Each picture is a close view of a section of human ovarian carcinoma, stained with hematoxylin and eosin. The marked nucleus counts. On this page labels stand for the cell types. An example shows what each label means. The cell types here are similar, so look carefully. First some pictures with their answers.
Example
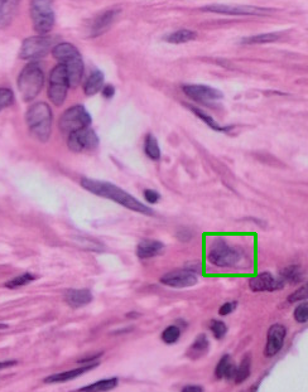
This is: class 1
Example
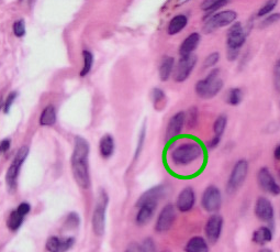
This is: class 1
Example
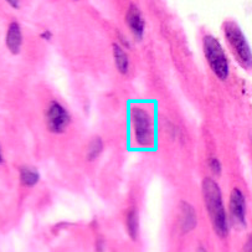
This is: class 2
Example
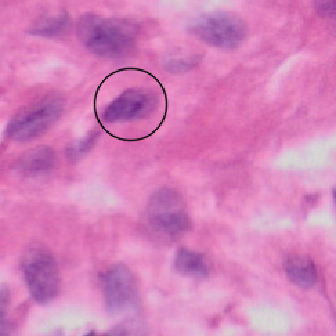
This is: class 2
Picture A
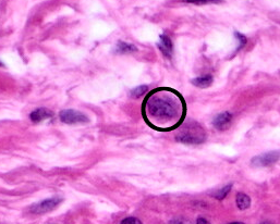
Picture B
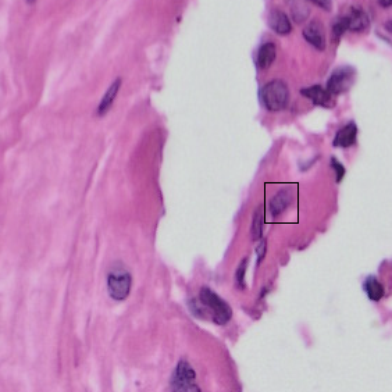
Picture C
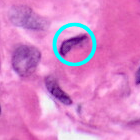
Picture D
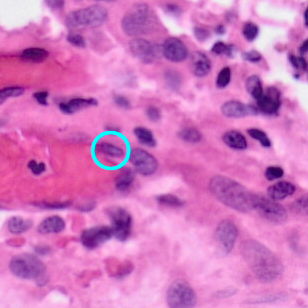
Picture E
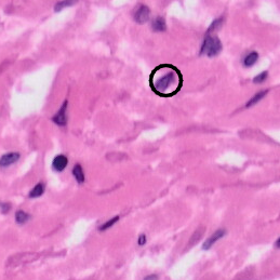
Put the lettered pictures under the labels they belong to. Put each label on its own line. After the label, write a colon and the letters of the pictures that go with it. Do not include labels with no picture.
class 1: A, B, D
class 2: C, E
